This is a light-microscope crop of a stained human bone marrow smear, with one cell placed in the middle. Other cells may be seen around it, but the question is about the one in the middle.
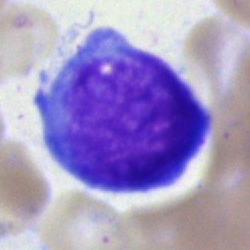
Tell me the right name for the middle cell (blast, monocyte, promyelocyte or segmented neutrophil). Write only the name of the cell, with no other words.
blast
